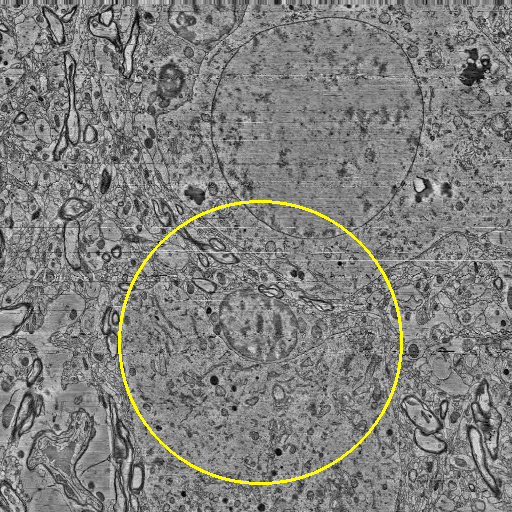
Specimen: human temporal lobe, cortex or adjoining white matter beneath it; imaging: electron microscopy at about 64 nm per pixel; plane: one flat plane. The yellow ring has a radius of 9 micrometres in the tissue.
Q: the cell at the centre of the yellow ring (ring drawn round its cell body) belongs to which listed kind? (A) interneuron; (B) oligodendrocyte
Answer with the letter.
B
